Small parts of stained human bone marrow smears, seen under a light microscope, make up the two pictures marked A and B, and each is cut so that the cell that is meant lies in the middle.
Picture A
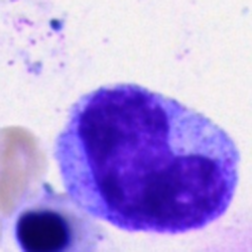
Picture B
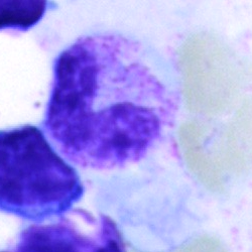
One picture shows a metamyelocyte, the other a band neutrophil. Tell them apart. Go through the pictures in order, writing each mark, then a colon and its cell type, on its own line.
A: metamyelocyte
B: band neutrophil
